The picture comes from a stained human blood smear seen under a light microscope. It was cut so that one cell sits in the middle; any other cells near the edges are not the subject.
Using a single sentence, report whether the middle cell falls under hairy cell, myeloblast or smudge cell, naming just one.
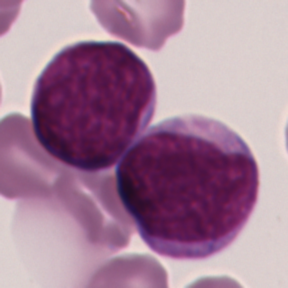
The target cell in the middle of the crop is a myeloblast.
